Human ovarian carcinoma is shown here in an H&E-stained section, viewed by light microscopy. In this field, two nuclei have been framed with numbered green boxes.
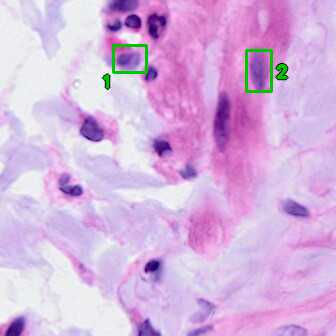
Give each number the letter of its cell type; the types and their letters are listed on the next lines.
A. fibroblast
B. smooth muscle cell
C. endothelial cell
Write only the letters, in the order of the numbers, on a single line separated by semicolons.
C; B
